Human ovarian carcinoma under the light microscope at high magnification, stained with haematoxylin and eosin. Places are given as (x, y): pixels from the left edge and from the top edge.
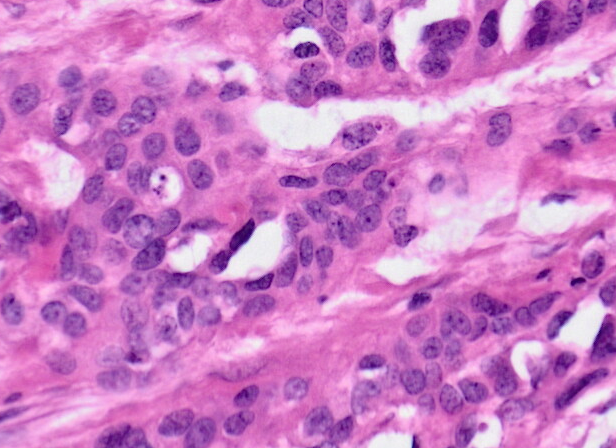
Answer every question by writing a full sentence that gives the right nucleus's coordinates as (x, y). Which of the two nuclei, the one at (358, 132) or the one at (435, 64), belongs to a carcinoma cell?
Of these two nuclei, it is the one at (435, 64) that belongs to a carcinoma cell.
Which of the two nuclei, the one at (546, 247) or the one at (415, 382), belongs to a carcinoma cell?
The one belonging to a carcinoma cell is the nucleus at (415, 382), not the other.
